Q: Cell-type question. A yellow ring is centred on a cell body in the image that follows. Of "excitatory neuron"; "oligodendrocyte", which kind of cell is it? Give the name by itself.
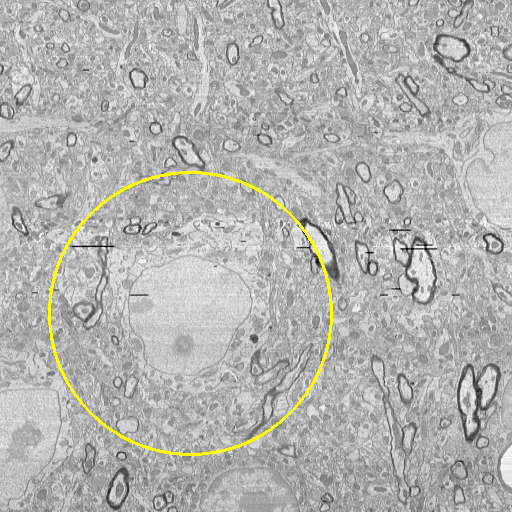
excitatory neuron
